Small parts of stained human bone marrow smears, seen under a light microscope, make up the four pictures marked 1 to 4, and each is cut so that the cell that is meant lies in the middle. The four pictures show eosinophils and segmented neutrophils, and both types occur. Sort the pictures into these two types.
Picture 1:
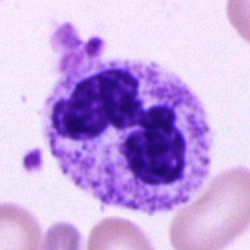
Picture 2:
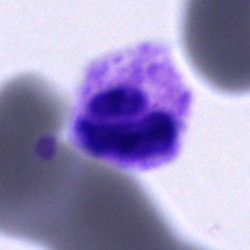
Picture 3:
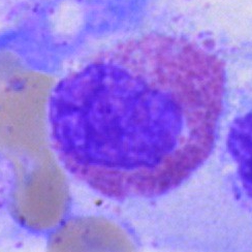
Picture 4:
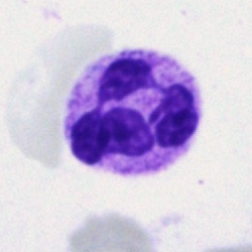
1: segmented neutrophil
2: segmented neutrophil
3: eosinophil
4: segmented neutrophil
